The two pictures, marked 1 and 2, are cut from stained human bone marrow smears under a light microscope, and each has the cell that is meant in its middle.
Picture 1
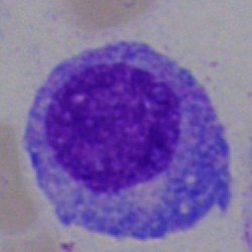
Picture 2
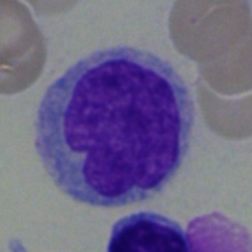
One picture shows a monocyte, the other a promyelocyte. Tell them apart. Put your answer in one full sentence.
Picture 1 is of a promyelocyte, and picture 2 is of a monocyte.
